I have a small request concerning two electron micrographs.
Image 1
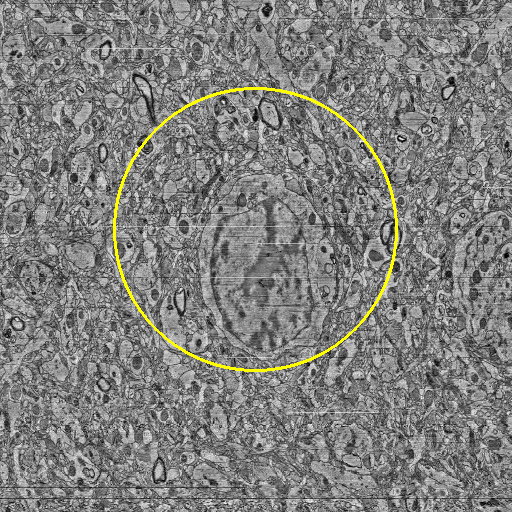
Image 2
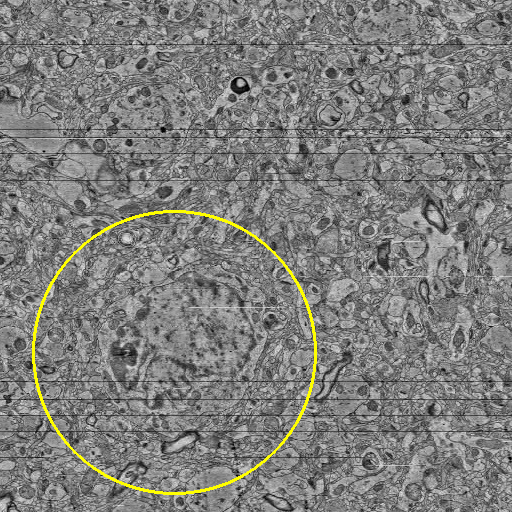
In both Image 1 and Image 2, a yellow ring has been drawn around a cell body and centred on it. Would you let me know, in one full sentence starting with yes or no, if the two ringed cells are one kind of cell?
Yes, the cells ringed in Image 1 and Image 2 are one kind of cell.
